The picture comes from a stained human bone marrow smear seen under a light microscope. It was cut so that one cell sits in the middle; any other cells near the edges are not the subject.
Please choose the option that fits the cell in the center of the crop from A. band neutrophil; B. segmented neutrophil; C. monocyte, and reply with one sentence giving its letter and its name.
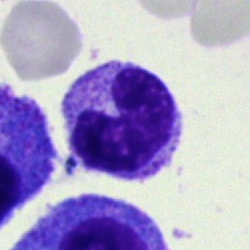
The central cell, a band neutrophil, is correctly identified by option A.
